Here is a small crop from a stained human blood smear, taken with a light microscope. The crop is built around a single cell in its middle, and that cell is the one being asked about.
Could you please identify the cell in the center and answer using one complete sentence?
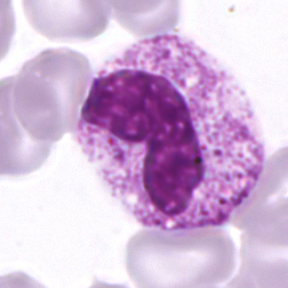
Centred in the crop is a band neutrophil.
